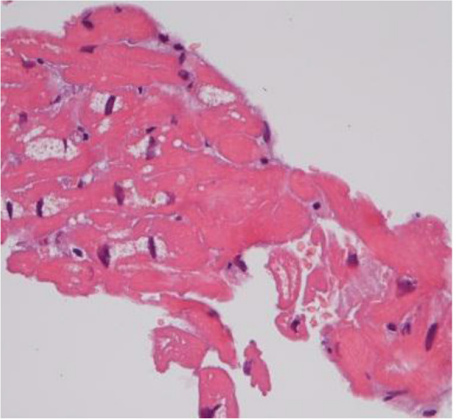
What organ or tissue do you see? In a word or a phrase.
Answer: myocardium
